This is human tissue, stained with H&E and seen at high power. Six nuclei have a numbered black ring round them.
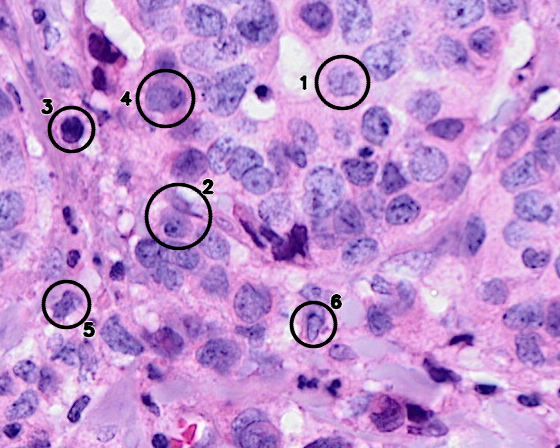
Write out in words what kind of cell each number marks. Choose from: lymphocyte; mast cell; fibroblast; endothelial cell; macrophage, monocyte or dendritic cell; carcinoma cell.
Cells 1, 2, 3 and 4 are carcinoma cells. Cells 5 and 6 are macrophages, monocytes or dendritic cells.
